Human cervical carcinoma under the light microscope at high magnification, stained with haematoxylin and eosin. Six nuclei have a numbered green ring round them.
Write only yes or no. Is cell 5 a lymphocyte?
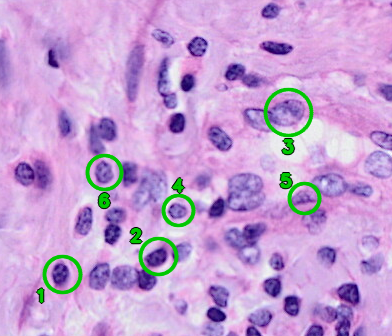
no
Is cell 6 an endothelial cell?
no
